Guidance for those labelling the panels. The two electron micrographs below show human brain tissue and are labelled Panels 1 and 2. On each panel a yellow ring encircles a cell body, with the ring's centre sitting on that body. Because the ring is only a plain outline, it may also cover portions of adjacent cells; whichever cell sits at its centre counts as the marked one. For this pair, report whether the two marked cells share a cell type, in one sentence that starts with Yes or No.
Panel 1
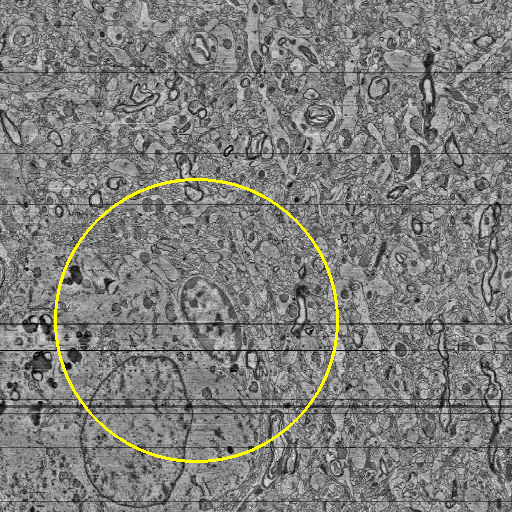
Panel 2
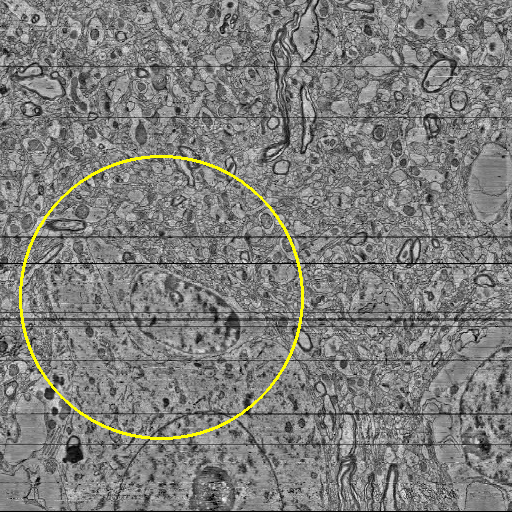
Yes, in Panel 1 and Panel 2 the marked cells at the ring centres share one type.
